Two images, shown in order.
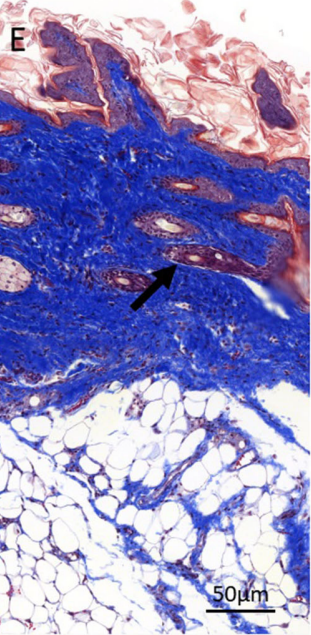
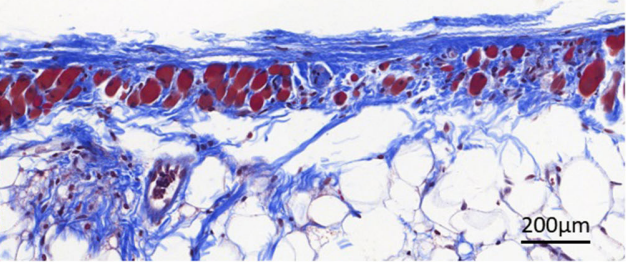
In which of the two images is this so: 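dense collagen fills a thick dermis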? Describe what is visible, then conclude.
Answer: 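The first image. Second image: only thin, loose blue fibres lie over muscle and fat. First image: a thick compact band of deep blue fibres lies under the epidermis.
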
